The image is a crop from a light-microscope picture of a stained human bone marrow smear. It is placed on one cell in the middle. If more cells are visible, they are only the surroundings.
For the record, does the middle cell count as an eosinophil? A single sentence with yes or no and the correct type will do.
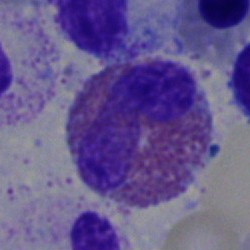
Yes, the cell in the central position is an eosinophil.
